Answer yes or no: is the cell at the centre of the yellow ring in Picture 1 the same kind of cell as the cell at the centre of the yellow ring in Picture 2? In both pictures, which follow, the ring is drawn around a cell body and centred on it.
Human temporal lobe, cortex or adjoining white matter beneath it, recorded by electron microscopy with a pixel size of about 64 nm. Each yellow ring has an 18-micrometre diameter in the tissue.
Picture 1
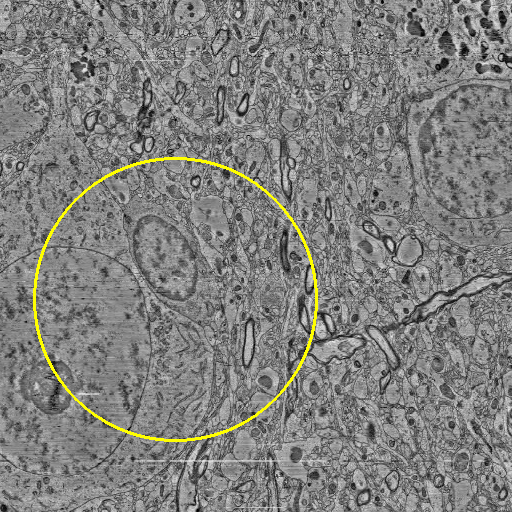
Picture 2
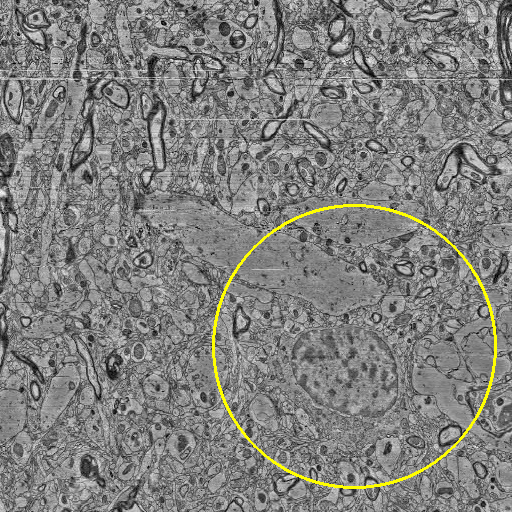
yes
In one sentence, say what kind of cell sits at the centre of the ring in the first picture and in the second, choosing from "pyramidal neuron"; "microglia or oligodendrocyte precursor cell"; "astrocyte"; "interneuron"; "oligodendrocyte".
Each of the two cells is an oligodendrocyte.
